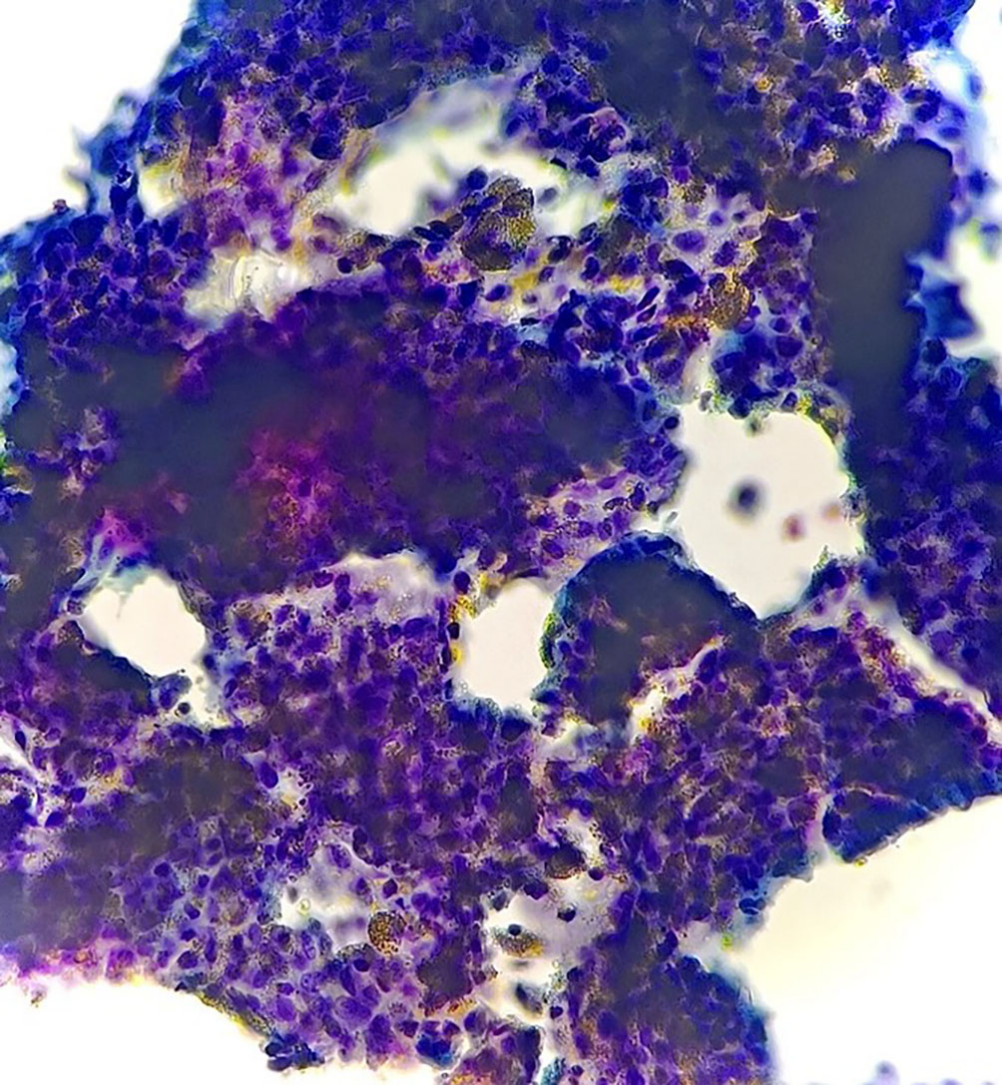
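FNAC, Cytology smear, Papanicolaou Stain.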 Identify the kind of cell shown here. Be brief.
Macrophages containing pigments.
